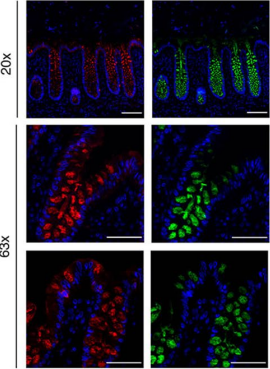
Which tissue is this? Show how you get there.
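Colon. Parallel straight tubular crypts sit side by side in the mucosa. No villi are visible. Many crypt-lining cells hold rounded cytoplasmic signal.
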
